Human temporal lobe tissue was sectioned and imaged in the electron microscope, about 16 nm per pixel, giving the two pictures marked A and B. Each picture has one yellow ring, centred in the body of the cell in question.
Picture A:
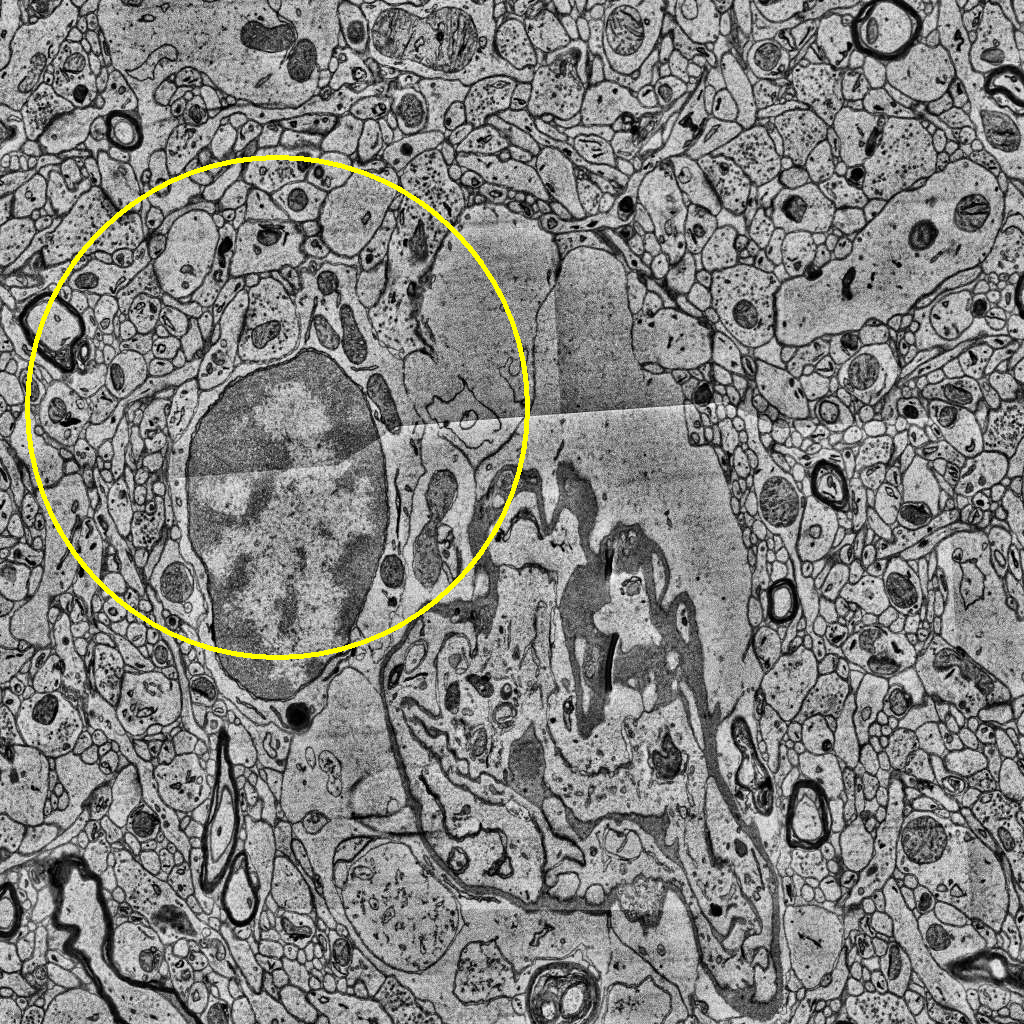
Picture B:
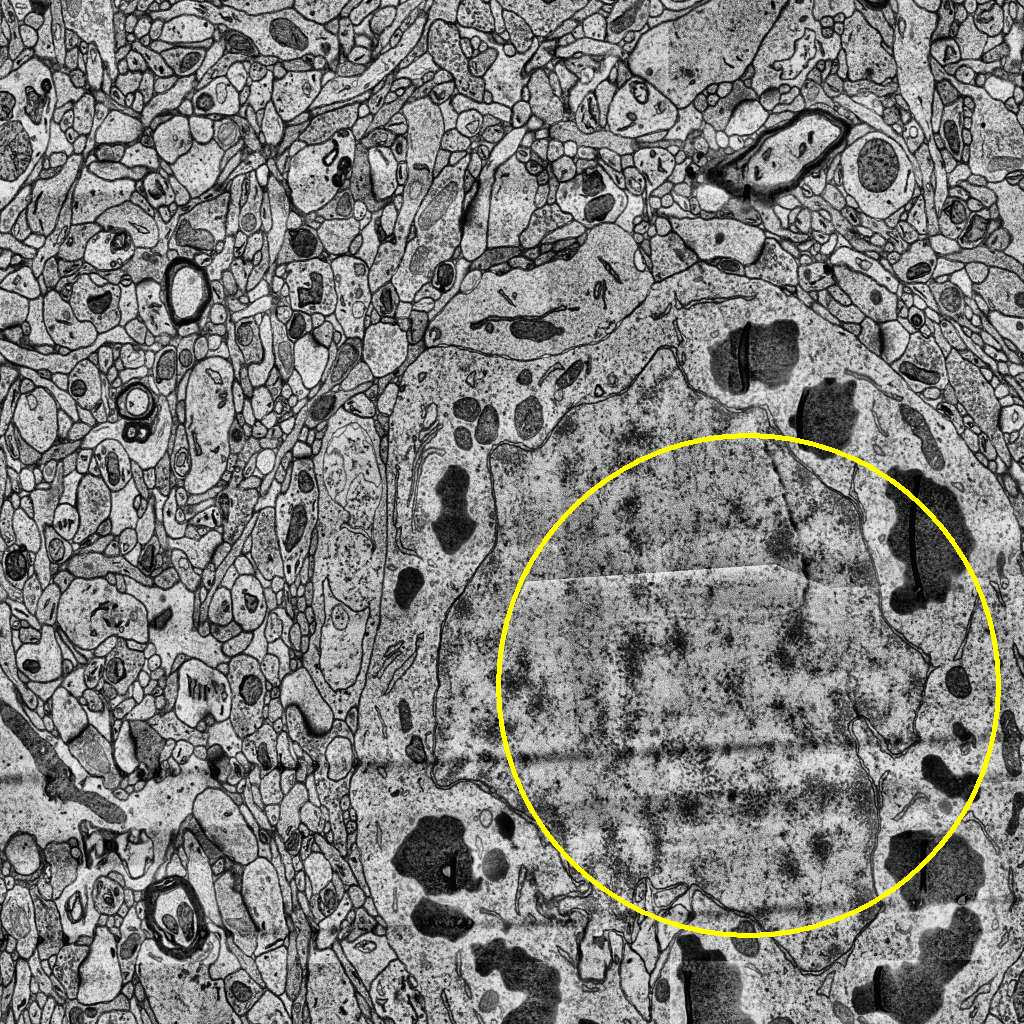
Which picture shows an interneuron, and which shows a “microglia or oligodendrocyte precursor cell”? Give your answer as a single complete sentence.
It is picture A that shows a “microglia or oligodendrocyte precursor cell”, and picture B that shows an interneuron.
